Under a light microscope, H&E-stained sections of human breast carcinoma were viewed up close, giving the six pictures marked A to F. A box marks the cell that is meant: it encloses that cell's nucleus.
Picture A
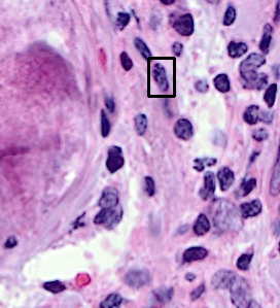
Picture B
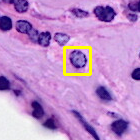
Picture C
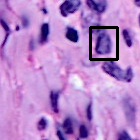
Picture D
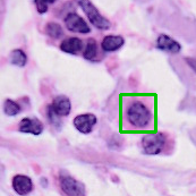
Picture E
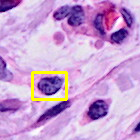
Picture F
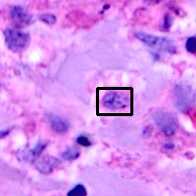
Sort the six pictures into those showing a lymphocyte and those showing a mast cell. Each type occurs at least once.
A: lymphocyte
B: mast cell
C: lymphocyte
D: mast cell
E: mast cell
F: mast cell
